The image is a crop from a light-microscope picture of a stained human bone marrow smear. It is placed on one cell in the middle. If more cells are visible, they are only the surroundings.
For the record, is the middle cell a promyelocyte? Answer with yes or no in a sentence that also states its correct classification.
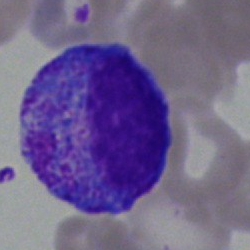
Yes, it is a promyelocyte that lies in the middle.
